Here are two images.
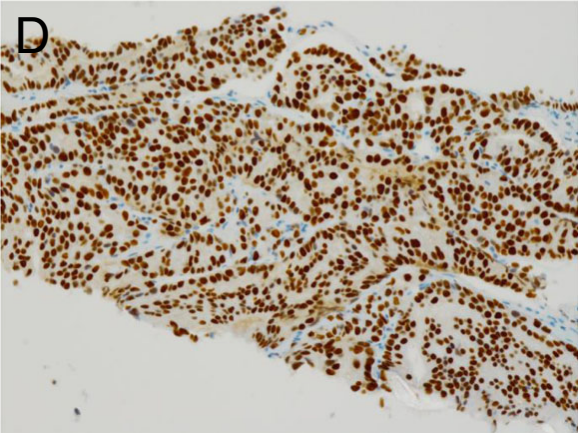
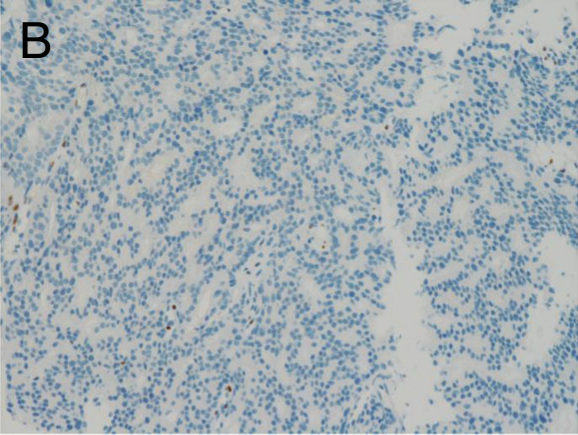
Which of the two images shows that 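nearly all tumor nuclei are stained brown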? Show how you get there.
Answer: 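The first image. First image: almost every tumor nucleus is dark brown. Second image: nuclei are blue with only a rare brown one.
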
